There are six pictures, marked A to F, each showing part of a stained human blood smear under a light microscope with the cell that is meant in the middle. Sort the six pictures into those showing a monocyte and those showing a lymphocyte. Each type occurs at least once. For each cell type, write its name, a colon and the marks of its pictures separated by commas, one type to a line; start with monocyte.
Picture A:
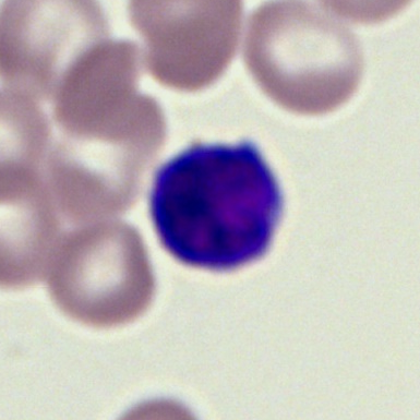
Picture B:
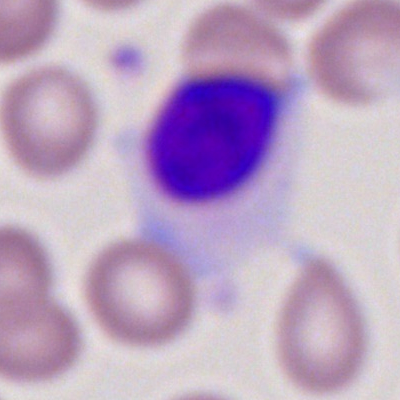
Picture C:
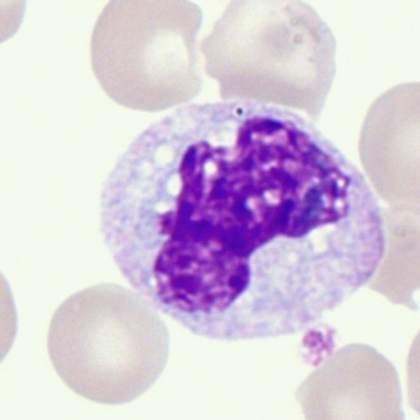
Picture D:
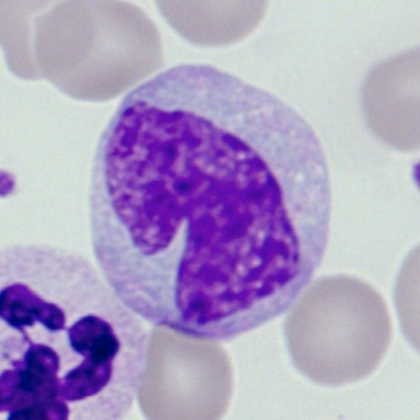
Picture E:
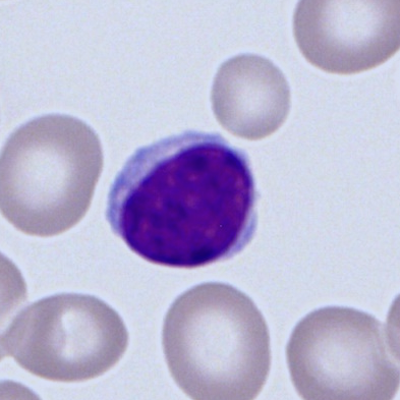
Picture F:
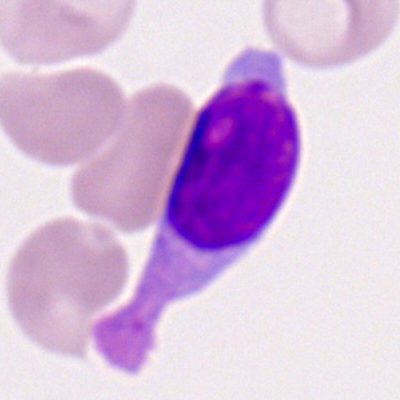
monocyte: C, D
lymphocyte: A, B, E, F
